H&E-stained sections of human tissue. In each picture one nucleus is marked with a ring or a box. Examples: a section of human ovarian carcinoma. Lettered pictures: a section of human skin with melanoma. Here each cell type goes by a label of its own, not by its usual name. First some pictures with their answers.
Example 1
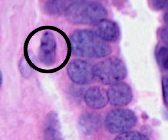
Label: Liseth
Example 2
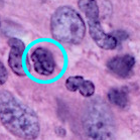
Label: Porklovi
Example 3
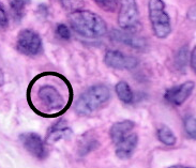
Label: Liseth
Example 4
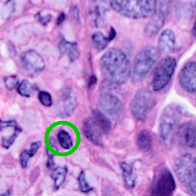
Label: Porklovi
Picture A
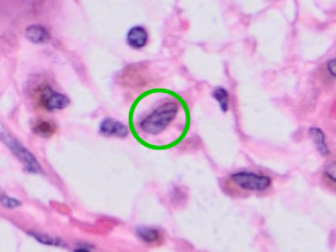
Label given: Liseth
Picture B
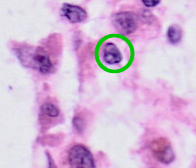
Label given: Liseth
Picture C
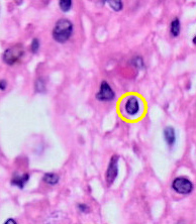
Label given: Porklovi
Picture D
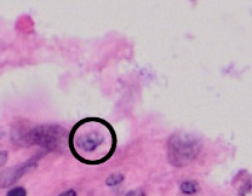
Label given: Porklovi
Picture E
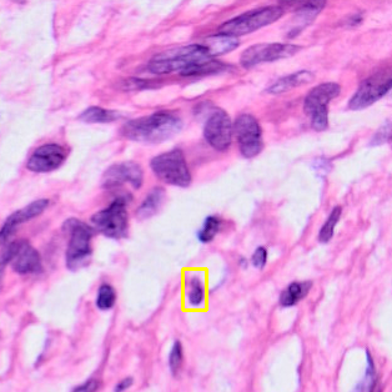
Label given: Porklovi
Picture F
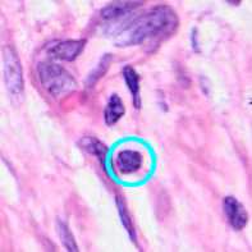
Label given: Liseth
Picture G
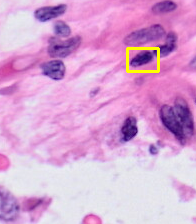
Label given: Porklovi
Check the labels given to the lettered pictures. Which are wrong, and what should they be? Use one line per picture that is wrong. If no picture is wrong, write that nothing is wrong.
B should be Porklovi, not Liseth
F should be Porklovi, not Liseth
